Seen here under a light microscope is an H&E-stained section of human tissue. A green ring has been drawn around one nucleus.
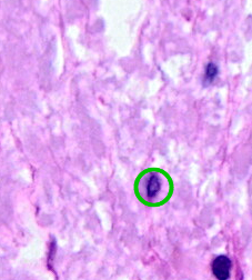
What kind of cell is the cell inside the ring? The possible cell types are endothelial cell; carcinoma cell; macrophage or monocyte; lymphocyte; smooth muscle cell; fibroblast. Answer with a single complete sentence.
In cellular terms, the cell inside the ring is a macrophage or monocyte.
